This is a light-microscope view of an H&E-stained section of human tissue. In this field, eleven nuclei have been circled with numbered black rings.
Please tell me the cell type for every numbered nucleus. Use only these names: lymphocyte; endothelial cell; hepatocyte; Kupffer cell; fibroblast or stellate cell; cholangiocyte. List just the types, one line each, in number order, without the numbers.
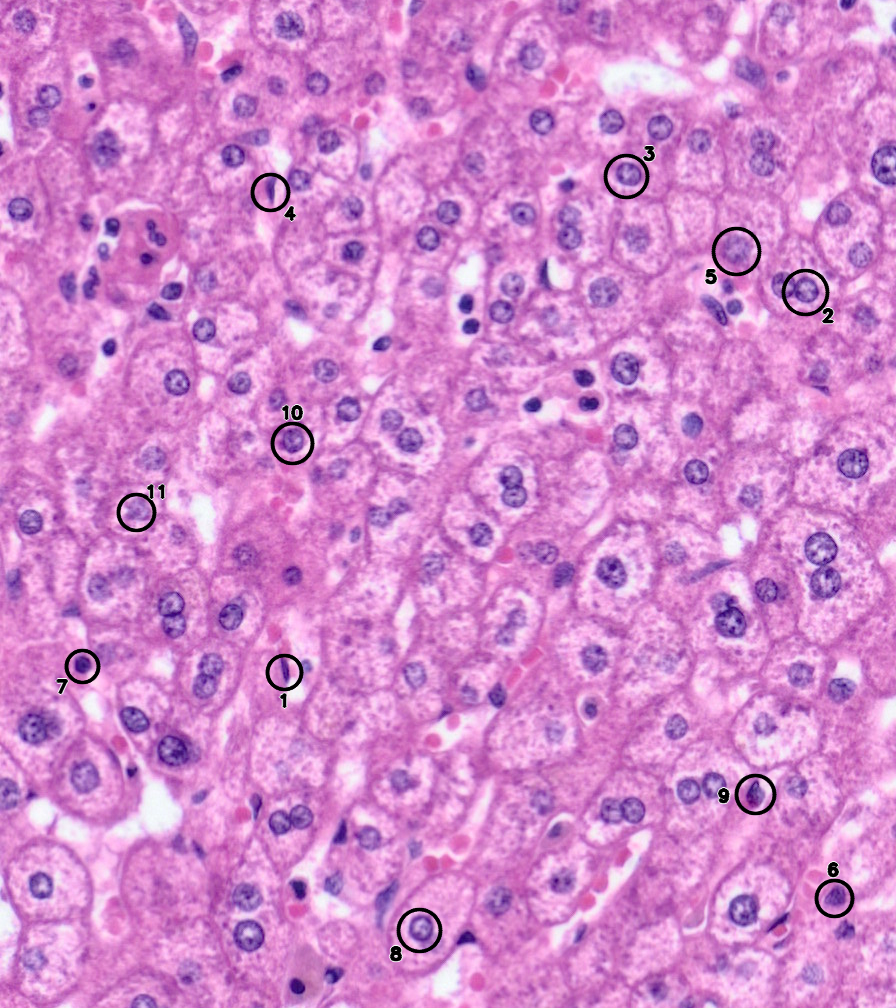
endothelial cell
hepatocyte
hepatocyte
endothelial cell
hepatocyte
fibroblast or stellate cell
lymphocyte
hepatocyte
endothelial cell
hepatocyte
hepatocyte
